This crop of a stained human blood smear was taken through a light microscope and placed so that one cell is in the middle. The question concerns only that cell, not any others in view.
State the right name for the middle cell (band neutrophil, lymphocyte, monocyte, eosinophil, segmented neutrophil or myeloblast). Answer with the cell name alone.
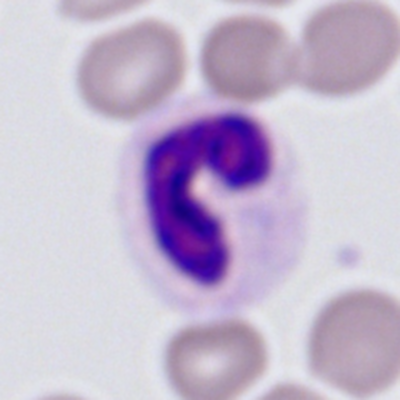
band neutrophil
